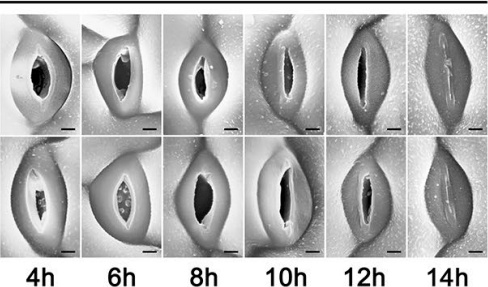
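A grid of scanning electron images of the leaf epidermal surface, each centred on a single stoma formed by two curved, bean-shaped guard cells joined at their ends. Between the guard cells lies a pore that in some tiles is a thin closed slit and in others a wide, dark oval opening. The surrounding epidermal surface is smooth to finely textured, with the guard cell pair raised slightly above it. These are stomata seen in surface view at different degrees of opening.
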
